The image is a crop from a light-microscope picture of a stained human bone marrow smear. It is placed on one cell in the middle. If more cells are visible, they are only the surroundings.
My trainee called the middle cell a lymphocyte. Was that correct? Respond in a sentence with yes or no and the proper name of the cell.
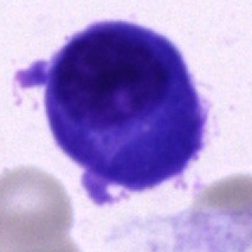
No, instead of a lymphocyte, the middle cell is a plasma cell.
